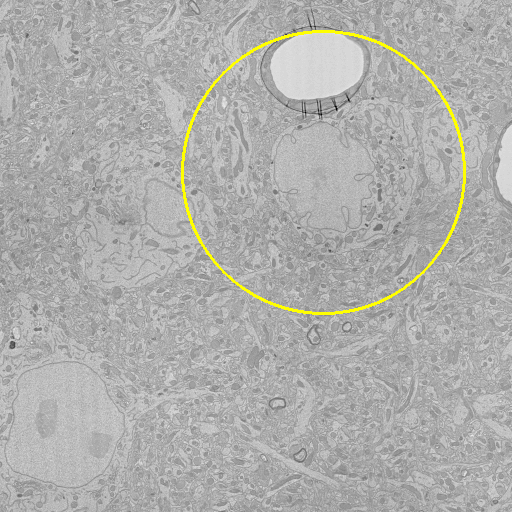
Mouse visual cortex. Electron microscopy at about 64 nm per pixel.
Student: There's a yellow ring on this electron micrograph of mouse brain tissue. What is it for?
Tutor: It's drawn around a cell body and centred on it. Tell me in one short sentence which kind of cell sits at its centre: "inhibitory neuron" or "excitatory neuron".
The cell at the centre of the ring is an inhibitory neuron.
